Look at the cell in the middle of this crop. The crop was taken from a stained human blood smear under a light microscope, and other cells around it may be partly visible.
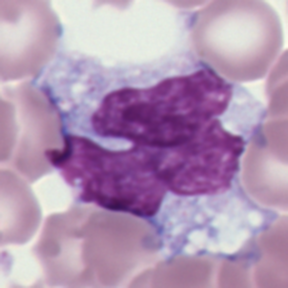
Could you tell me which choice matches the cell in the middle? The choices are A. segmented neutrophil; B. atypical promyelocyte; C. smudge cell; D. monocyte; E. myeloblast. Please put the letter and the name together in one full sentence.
Option D holds, for the cell in the middle is a monocyte.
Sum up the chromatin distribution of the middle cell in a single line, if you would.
Answer: the chromatin is fine and has no coarse clumps.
